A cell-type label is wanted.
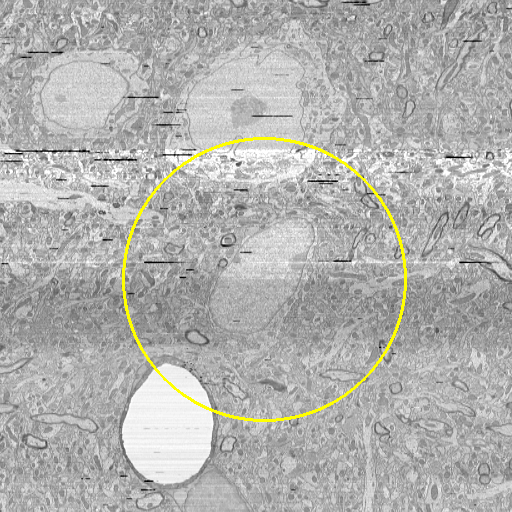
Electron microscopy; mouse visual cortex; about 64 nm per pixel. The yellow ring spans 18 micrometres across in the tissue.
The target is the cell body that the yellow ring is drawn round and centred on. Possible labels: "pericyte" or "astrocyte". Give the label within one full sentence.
Of the labels offered, the cell in the middle of the yellow ring is an astrocyte.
